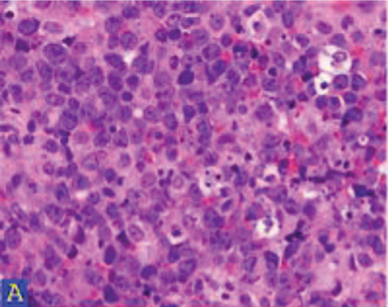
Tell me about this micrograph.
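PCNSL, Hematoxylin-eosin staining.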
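This is a tumour made of sheets of large, pleomorphic cells lying loosely together without cohesion. Their nuclei are large, round to irregular and vary markedly in size and shape, with vesicular to dark chromatin and some visible nucleoli. The cytoplasm is scant to moderate and pale pink. Scattered among the cells are shrunken, darkly stained cells and fragmented bodies sitting in clear halos, consistent with apoptosis. A few red blood cells are seen between the tumour cells.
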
